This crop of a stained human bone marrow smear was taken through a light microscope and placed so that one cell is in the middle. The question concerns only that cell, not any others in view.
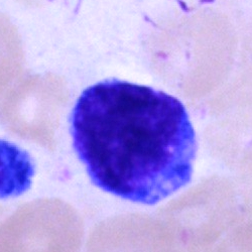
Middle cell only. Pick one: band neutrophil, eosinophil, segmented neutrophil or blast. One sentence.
The cell of interest, in the center, is a blast.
